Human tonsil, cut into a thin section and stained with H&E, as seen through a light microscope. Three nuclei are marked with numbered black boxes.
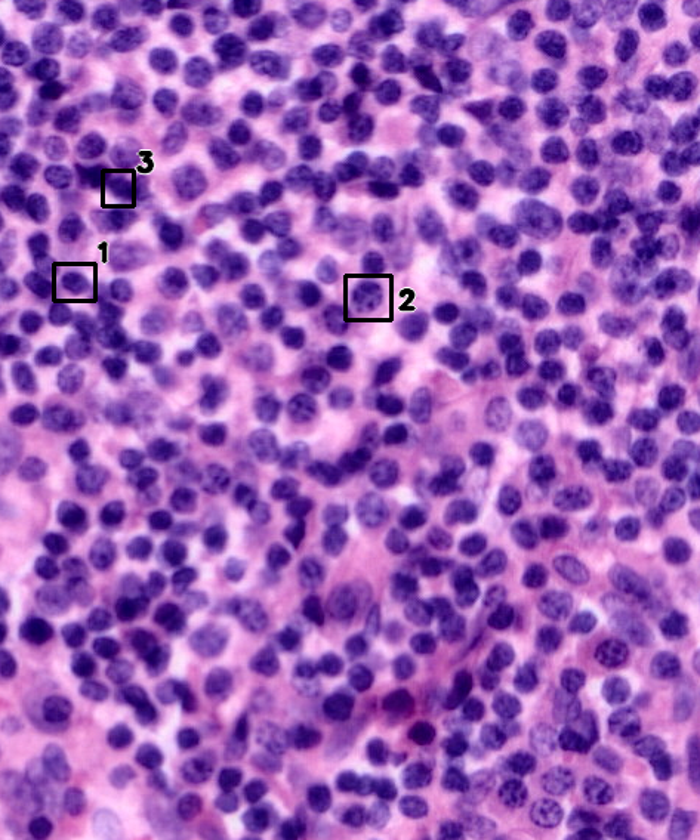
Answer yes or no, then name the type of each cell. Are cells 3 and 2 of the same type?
No, a small lymphocyte is what cell 3 is, and a plasma cell is what cell 2 is.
